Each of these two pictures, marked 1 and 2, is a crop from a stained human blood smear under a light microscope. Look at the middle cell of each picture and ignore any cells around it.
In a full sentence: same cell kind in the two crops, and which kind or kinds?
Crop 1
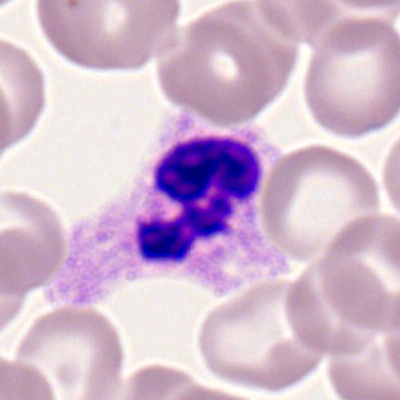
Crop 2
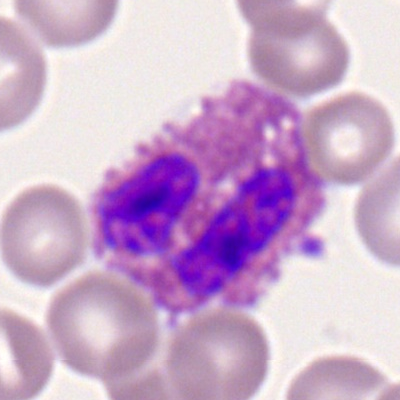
No, crop 1 shows a segmented neutrophil and crop 2 shows an eosinophil.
